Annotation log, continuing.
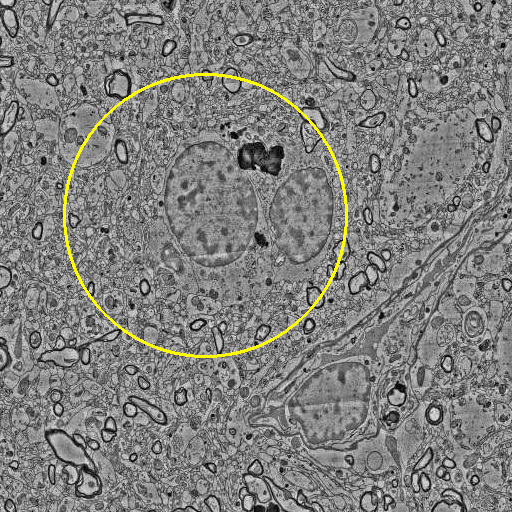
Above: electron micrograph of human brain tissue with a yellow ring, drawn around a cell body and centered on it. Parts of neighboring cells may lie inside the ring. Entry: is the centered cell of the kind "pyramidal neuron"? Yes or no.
No, the centered cell is of another kind.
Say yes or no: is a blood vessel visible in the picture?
Yes.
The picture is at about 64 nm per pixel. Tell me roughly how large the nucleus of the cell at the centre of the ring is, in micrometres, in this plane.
The nucleus measures about 8 by 6 micrometres in this plane.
